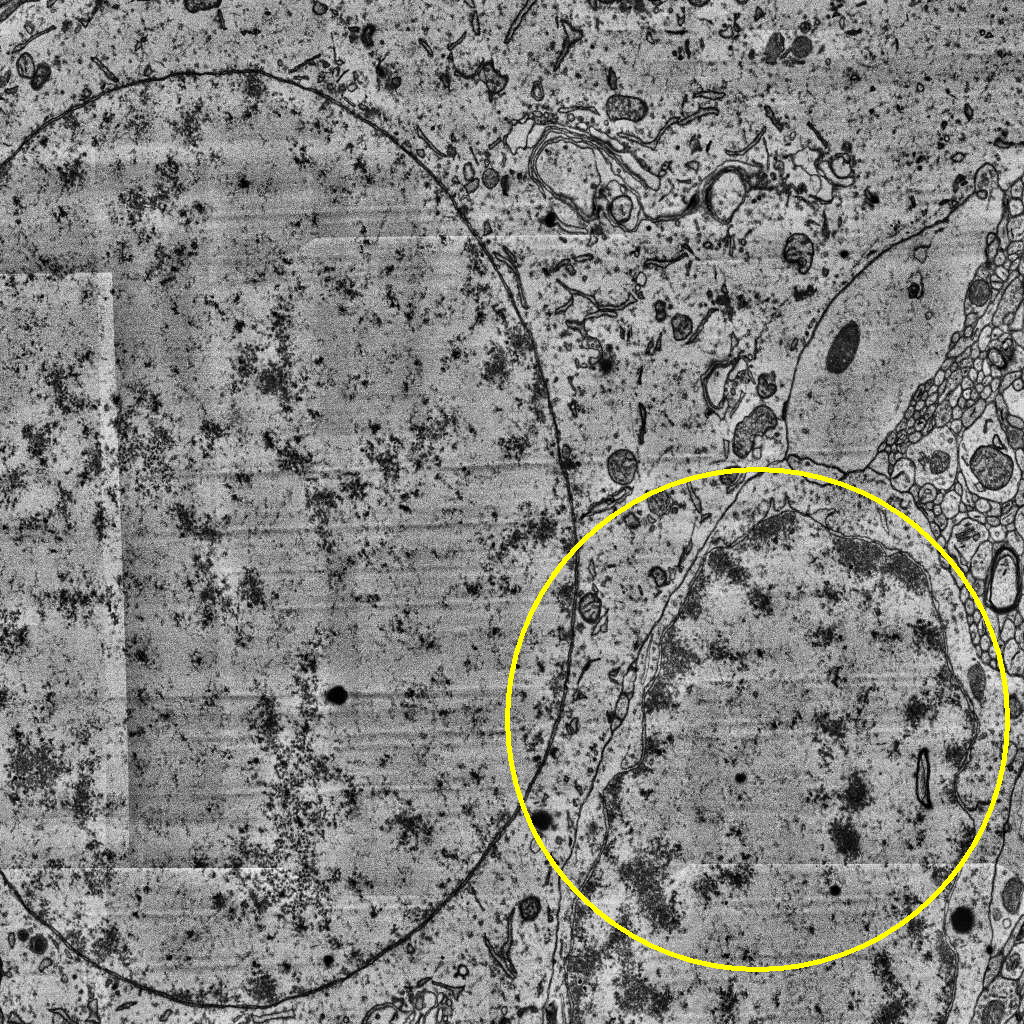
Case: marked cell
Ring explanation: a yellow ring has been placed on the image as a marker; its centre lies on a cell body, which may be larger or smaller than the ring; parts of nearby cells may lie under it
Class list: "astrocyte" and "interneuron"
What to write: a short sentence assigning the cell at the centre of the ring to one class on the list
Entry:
The cell at the ring's centre is an interneuron.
